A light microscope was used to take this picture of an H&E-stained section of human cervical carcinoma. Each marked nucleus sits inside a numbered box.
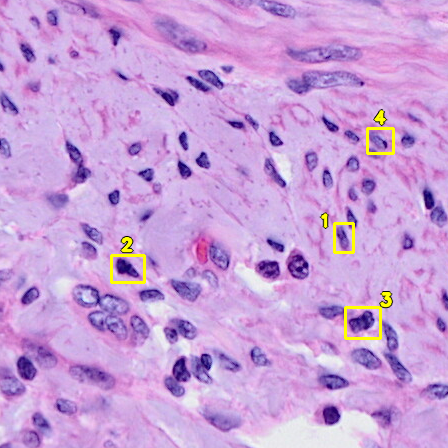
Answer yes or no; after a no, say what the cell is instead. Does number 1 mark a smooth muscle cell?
Yes.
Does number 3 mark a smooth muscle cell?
No, it is a lymphocyte.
